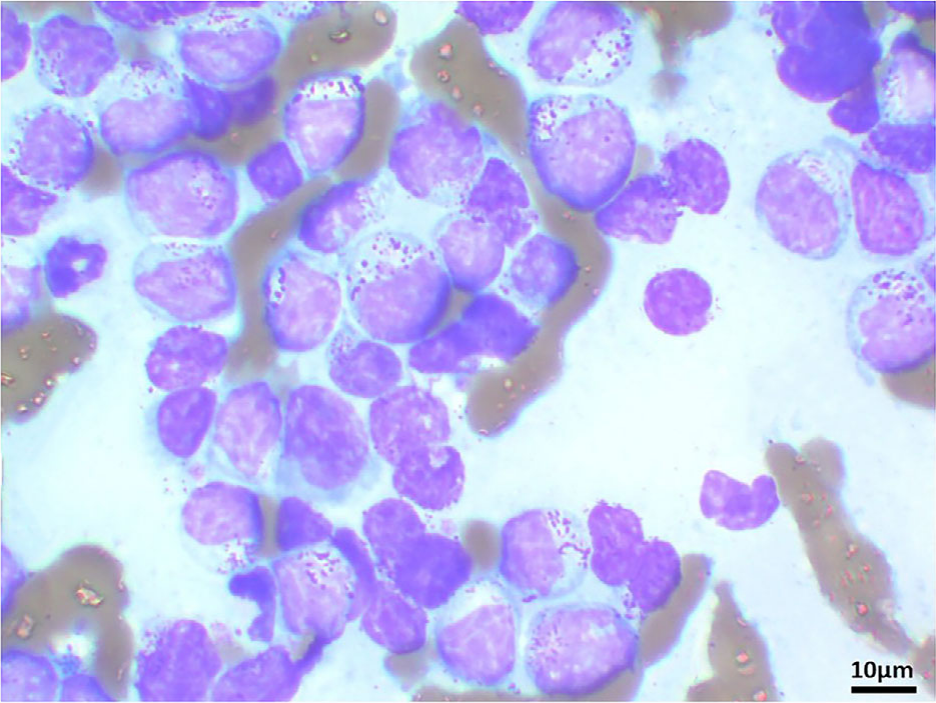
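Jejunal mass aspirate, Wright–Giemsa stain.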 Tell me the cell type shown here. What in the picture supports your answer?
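Large granular lymphocytes. Many discrete round cells with round to slightly indented purple nuclei.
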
